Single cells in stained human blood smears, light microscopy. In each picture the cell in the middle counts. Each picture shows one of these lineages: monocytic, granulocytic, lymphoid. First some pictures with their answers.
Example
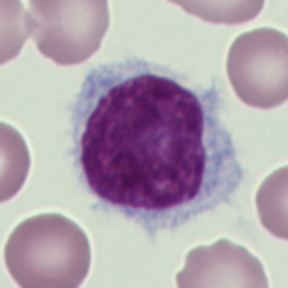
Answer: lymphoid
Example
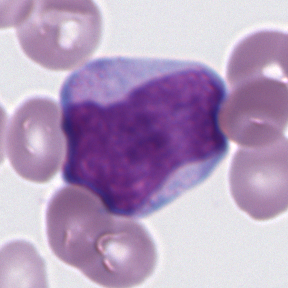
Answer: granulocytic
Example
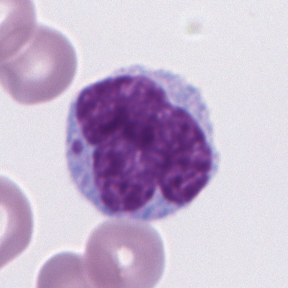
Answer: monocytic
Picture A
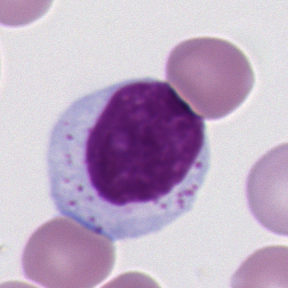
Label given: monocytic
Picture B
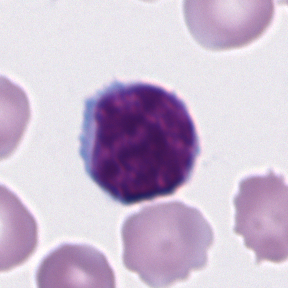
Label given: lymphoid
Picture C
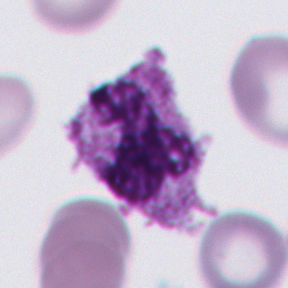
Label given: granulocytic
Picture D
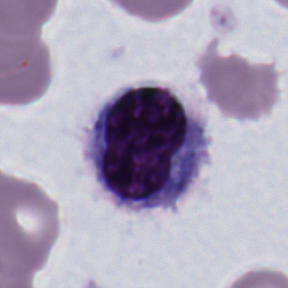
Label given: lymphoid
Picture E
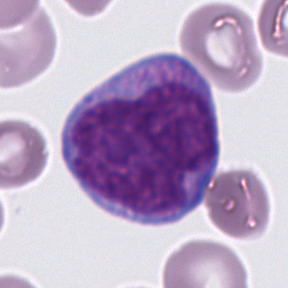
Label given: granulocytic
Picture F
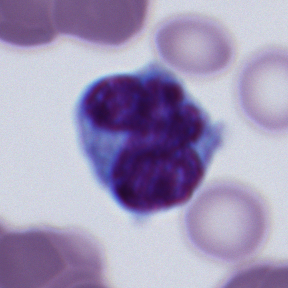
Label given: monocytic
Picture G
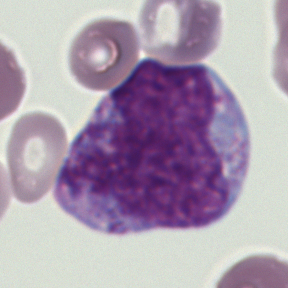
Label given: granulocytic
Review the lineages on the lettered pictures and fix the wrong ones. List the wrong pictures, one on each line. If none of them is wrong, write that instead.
A is labelled monocytic; correct label: lymphoid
